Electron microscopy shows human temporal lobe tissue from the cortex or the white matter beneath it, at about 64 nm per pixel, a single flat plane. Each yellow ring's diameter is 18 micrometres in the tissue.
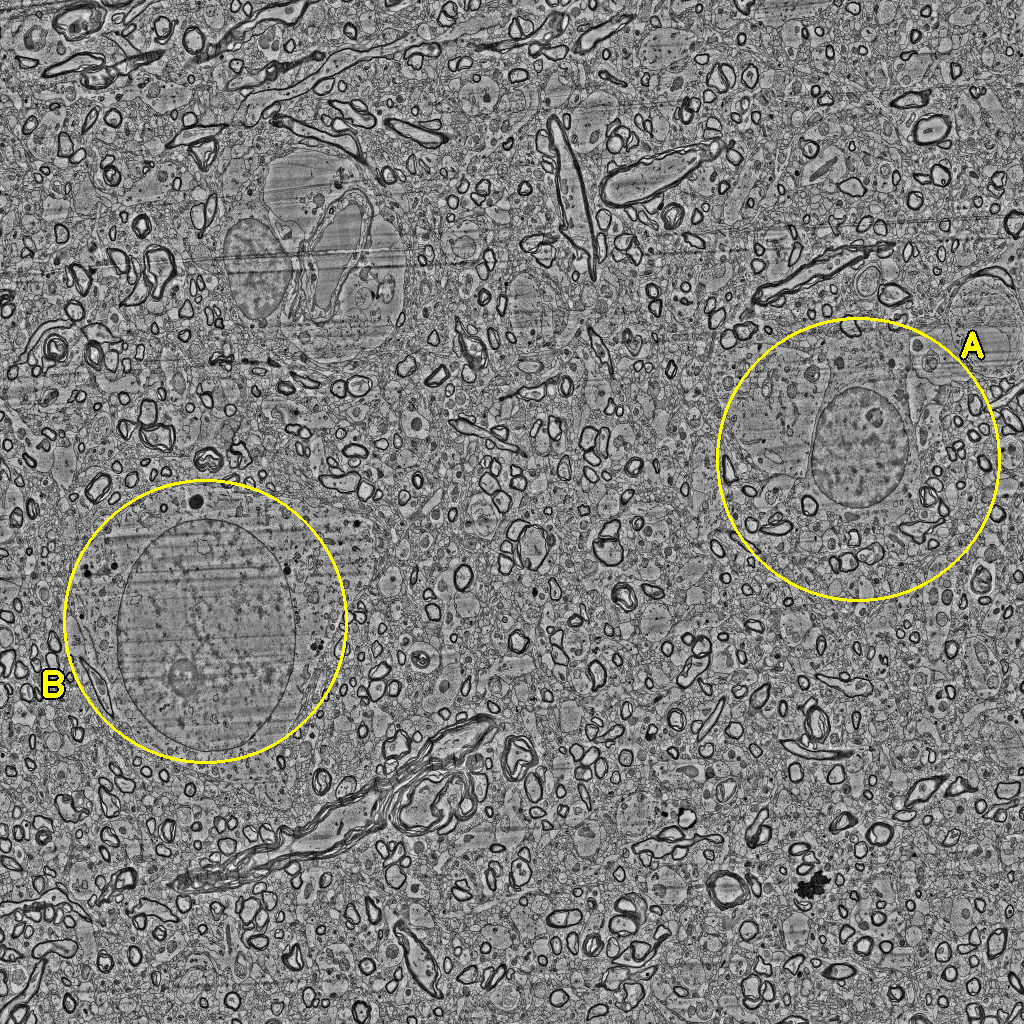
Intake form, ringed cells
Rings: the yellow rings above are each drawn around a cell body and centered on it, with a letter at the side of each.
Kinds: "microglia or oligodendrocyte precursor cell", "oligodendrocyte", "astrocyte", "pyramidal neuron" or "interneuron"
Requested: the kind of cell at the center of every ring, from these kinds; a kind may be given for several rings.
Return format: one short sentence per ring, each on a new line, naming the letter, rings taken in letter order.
In the center of ring A there is an oligodendrocyte.
In the center of ring B there is a pyramidal neuron.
